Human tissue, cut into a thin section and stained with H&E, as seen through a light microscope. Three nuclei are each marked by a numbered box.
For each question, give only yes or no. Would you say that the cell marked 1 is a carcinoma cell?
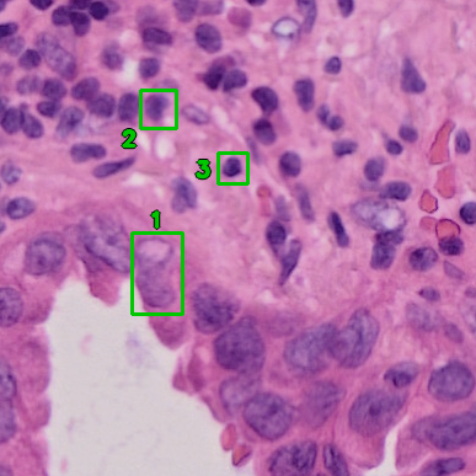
yes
